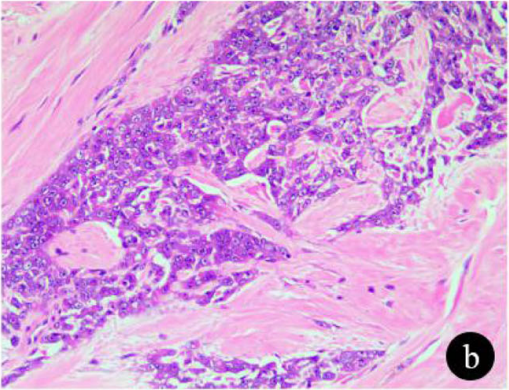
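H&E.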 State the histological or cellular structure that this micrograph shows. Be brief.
Fibrous tissues.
